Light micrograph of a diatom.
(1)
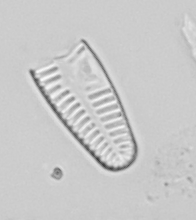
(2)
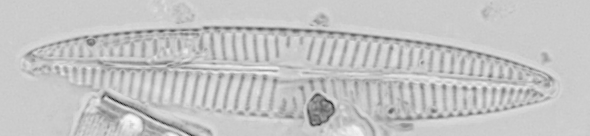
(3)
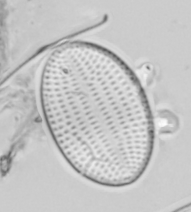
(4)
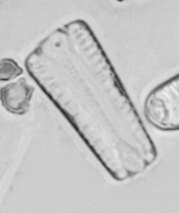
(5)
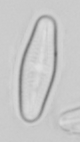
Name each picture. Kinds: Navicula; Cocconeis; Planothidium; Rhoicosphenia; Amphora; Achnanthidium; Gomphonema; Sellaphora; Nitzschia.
(1) Planothidium
(2) Navicula
(3) Cocconeis
(4) Gomphonema
(5) Achnanthidium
